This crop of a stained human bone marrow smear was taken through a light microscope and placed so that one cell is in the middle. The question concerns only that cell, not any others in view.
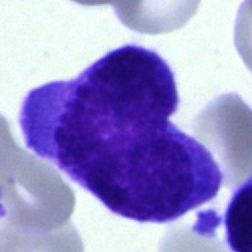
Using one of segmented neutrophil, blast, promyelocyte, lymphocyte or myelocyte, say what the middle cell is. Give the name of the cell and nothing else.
blast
